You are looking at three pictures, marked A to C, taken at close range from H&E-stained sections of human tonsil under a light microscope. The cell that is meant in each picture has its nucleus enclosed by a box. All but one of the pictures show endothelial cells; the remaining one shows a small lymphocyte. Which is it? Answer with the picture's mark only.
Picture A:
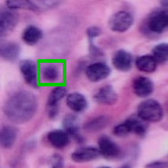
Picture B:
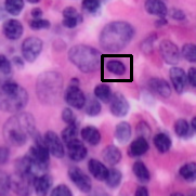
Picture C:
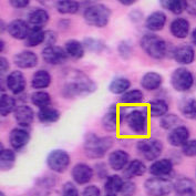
C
